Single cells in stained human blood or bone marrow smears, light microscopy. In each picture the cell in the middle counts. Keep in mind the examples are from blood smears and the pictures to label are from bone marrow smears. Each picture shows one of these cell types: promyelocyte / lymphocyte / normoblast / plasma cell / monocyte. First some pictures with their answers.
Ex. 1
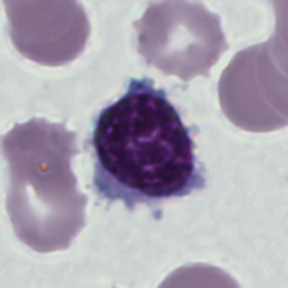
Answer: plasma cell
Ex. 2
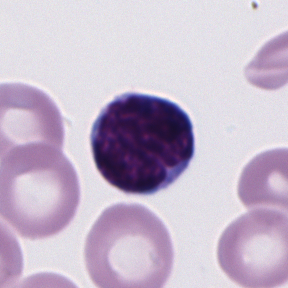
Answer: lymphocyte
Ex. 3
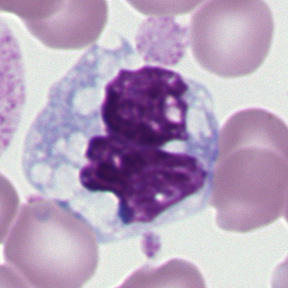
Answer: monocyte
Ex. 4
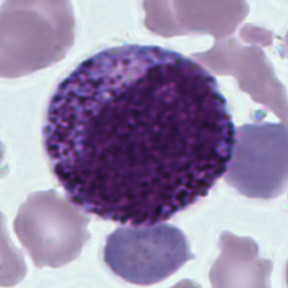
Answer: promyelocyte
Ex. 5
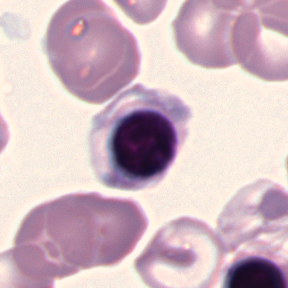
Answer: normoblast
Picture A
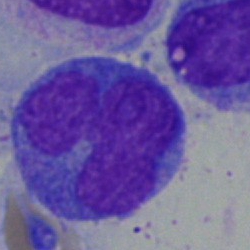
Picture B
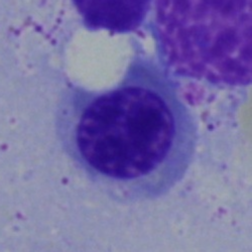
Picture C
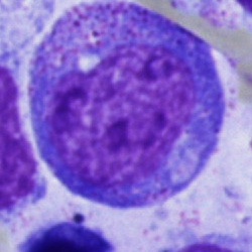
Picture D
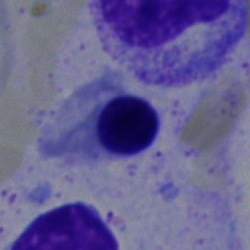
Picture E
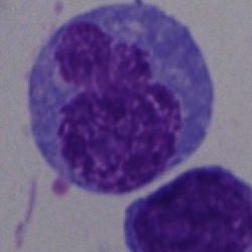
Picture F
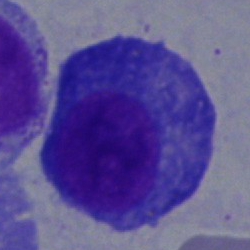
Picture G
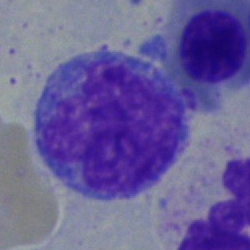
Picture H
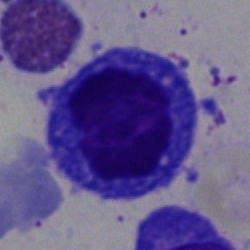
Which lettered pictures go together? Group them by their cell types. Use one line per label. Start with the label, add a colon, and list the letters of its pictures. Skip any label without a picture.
promyelocyte: C
normoblast: B, D, H
plasma cell: F
monocyte: A, E, G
